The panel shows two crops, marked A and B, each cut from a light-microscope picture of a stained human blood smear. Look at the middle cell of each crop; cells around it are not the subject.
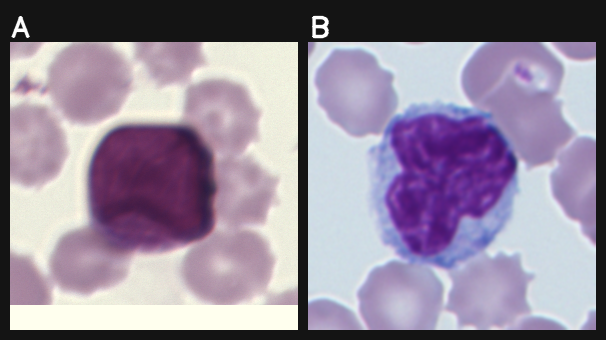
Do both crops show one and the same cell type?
no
